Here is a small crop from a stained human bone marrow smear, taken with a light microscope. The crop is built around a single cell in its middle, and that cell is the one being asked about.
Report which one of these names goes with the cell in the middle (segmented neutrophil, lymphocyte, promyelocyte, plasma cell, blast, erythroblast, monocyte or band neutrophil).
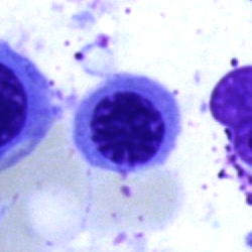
erythroblast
